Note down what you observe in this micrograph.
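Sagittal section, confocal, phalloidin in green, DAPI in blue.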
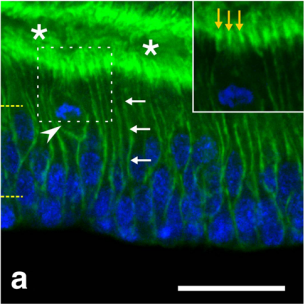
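This is a tall epithelium of closely packed columnar cells whose blue nuclei are stacked at several heights in the lower part, with a broad bright green band at the top lining a cell-free lumen. Thin green strands run up from the nuclear zone toward that lumen, so many cells appear flask-shaped with a body below and a slender process above. Near the apical region a cell with compact, irregular chromatin stands out among the oval nuclei. Together this reads as a pseudostratified columnar epithelium with flask-like cells and dividing cells near the apex.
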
